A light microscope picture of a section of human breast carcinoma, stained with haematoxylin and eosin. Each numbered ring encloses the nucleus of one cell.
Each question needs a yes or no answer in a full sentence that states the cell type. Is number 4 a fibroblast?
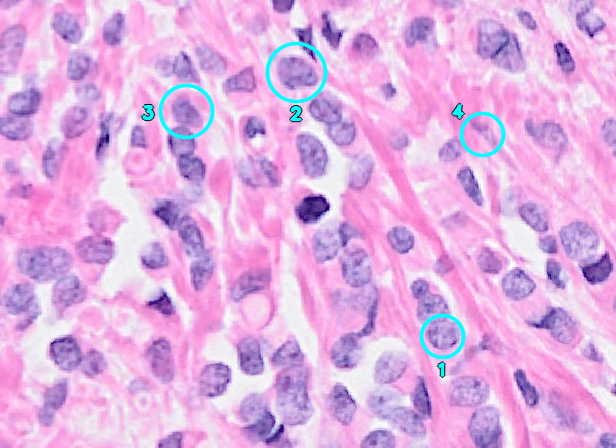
Yes, the cell bearing the number 4 is a fibroblast.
